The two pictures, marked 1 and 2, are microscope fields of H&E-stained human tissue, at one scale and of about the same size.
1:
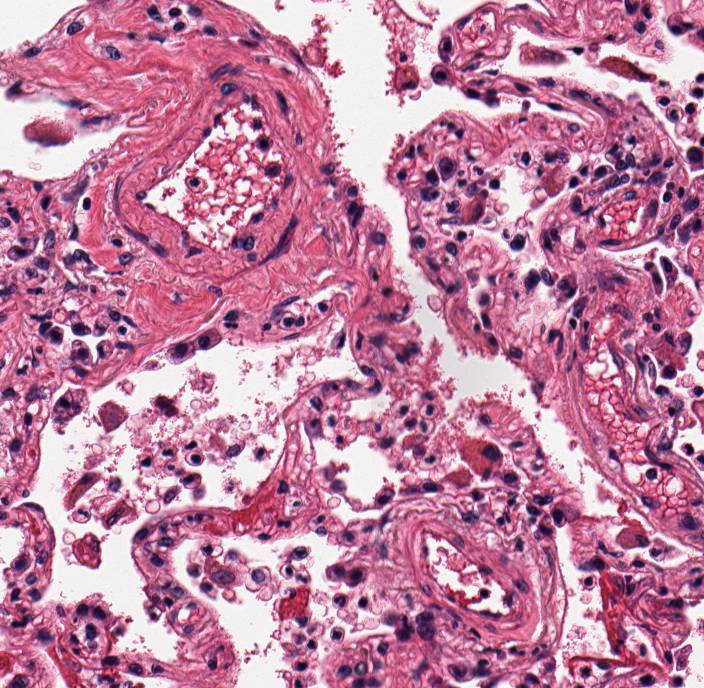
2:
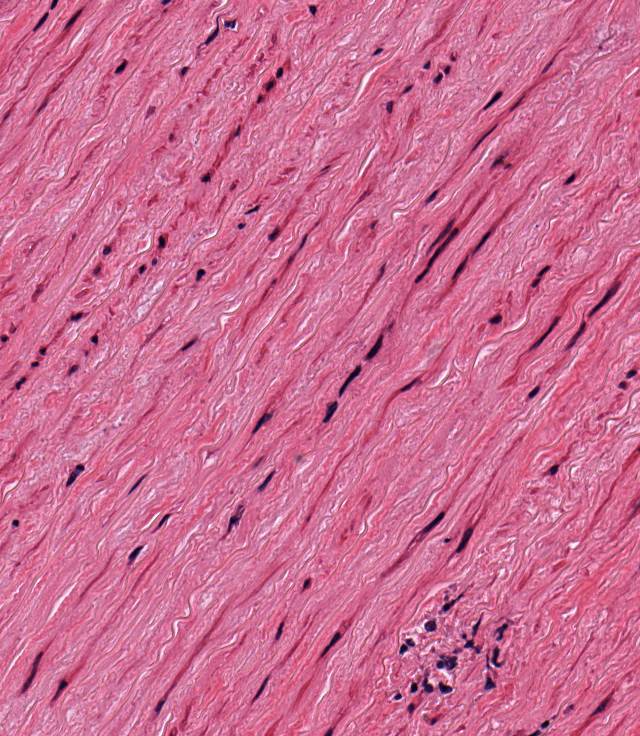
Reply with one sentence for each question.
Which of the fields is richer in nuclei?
There are more nuclei in field 1.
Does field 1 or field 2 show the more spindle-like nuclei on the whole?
On the whole the nuclei of field 2 are more drawn out than those of field 1.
